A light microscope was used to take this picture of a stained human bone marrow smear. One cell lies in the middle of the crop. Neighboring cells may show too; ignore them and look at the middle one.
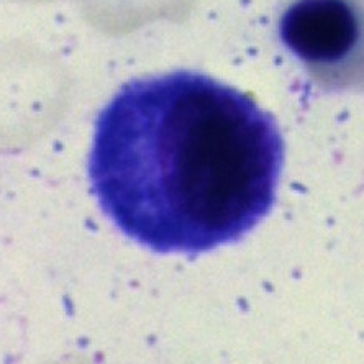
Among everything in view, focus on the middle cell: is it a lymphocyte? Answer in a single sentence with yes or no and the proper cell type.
No, it is not a lymphocyte that lies in the middle but a plasma cell.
